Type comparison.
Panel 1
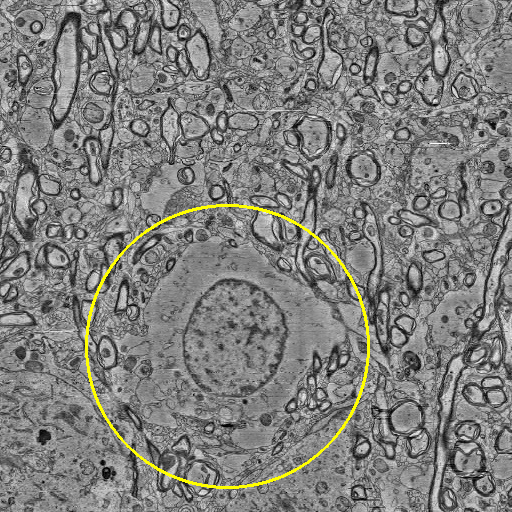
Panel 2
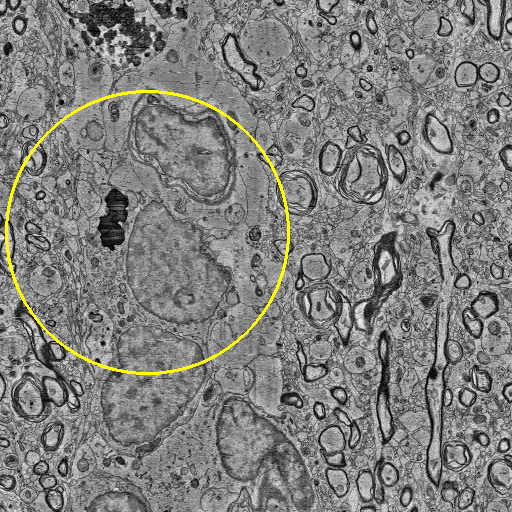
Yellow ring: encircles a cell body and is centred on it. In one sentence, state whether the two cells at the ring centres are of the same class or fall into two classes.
In these panels, the two cells at the ring centres fall into two classes.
